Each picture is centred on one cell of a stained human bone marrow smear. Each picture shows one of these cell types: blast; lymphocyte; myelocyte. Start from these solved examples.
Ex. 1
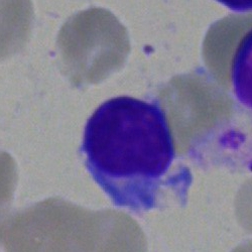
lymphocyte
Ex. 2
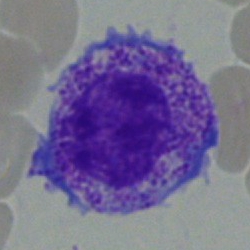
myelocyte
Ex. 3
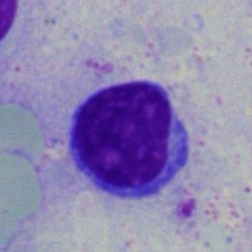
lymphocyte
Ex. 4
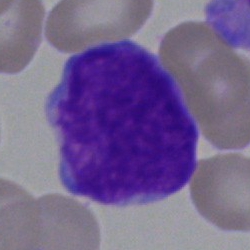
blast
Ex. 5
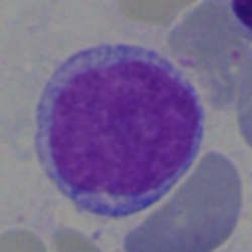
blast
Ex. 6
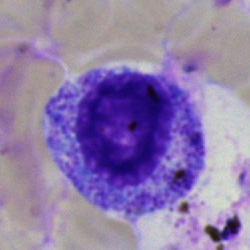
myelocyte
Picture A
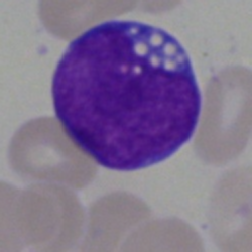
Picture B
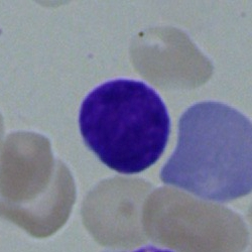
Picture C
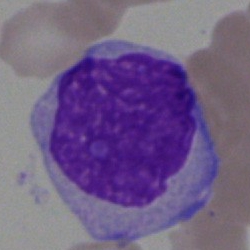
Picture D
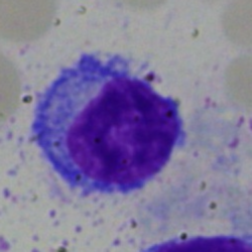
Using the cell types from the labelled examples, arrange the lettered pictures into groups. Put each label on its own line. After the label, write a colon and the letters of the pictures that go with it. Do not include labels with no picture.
blast: A, C
lymphocyte: B, D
